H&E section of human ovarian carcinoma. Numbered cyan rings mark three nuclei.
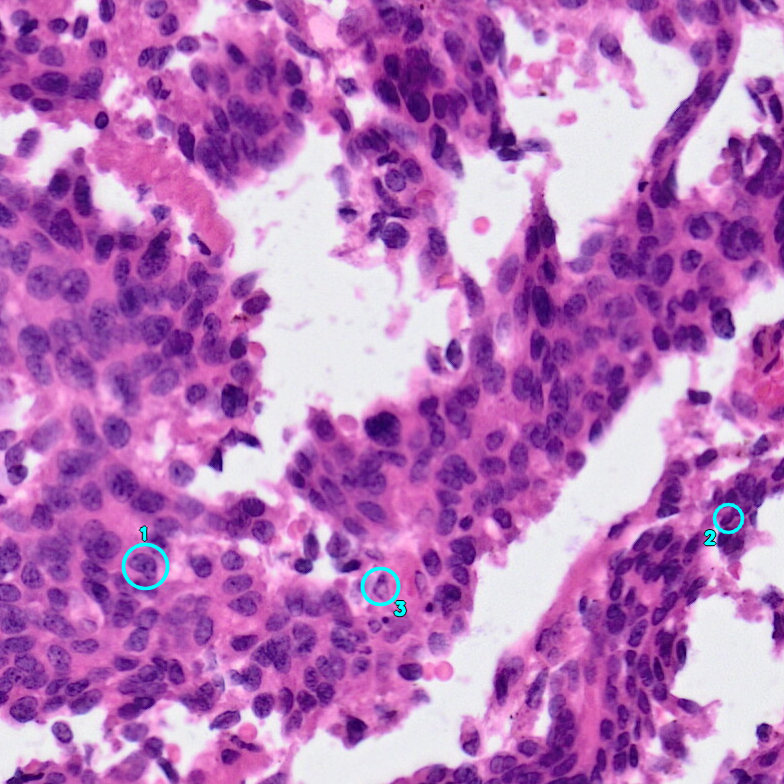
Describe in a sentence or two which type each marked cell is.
Cells 1 and 3 are macrophages or monocytes. Cell 2 is a carcinoma cell.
